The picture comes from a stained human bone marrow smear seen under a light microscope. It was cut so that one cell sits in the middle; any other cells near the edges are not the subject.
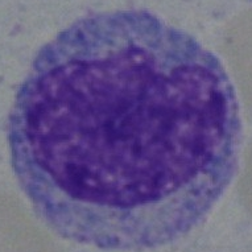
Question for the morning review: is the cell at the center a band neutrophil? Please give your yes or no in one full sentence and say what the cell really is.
No, the cell placed at the center is a monocyte rather than a band neutrophil.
